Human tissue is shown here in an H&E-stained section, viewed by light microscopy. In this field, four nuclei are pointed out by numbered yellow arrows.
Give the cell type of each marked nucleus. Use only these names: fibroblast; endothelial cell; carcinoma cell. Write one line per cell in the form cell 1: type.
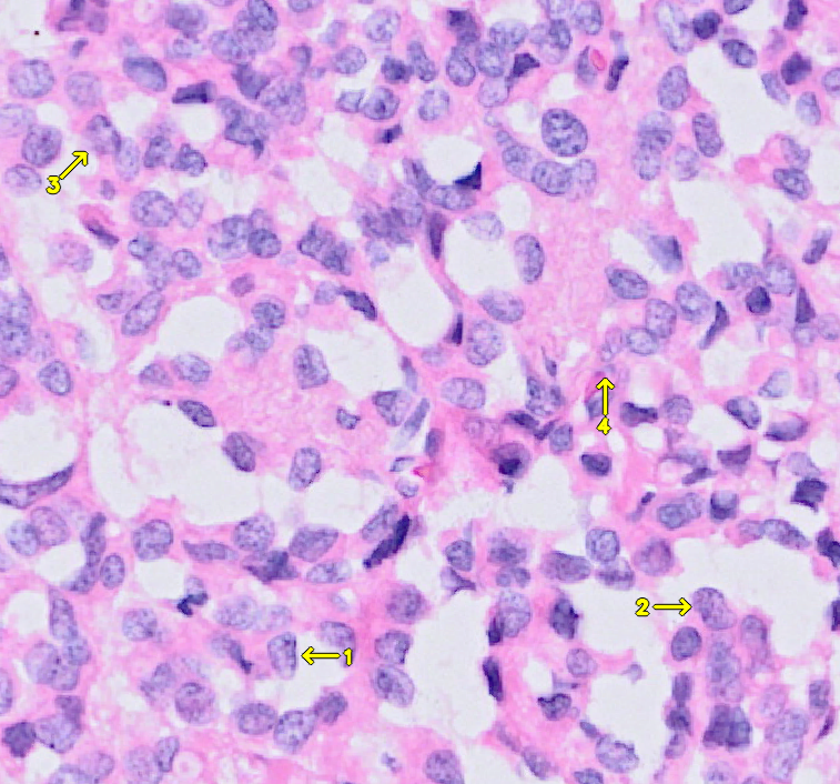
cell 1: carcinoma cell
cell 2: carcinoma cell
cell 3: carcinoma cell
cell 4: endothelial cell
